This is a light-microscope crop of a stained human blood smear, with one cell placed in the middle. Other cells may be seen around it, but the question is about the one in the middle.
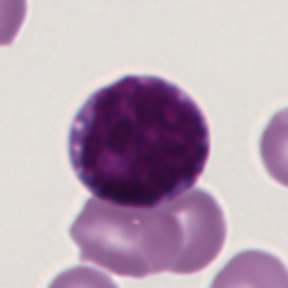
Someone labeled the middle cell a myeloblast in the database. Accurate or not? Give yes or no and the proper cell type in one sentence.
Yes, it is a myeloblast that lies in the middle.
